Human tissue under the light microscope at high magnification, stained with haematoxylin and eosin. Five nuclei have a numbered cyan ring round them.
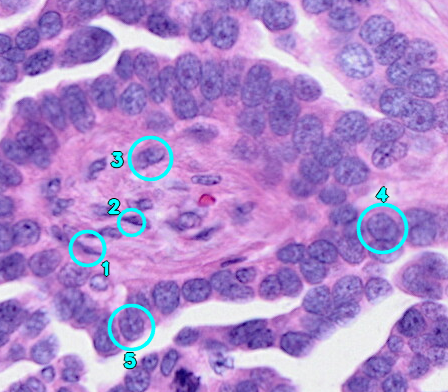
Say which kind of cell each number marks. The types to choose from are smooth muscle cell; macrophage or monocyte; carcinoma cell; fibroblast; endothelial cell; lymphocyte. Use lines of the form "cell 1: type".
cell 1: fibroblast
cell 2: fibroblast
cell 3: fibroblast
cell 4: carcinoma cell
cell 5: carcinoma cell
